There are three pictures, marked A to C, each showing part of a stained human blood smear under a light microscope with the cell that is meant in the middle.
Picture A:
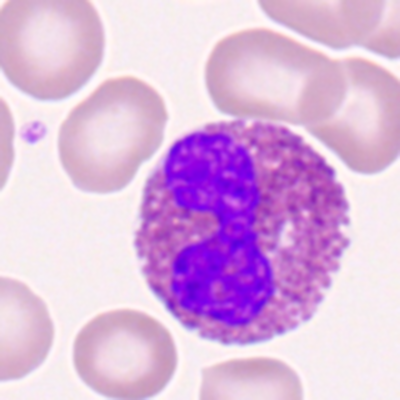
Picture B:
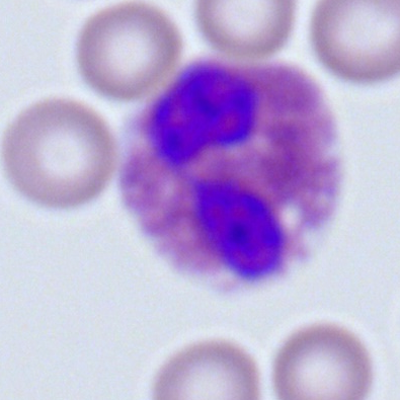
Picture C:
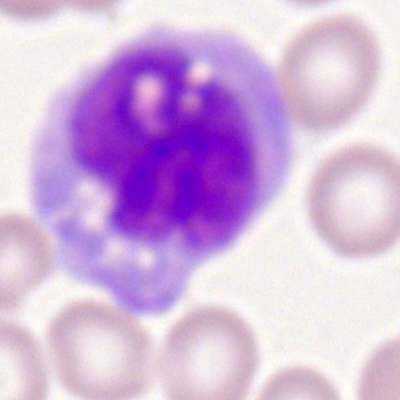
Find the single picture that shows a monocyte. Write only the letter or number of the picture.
C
